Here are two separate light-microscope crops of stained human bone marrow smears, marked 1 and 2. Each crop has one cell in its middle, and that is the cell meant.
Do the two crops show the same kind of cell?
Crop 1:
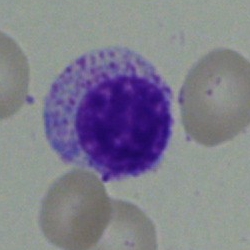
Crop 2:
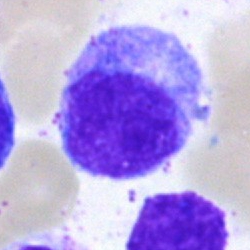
yes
